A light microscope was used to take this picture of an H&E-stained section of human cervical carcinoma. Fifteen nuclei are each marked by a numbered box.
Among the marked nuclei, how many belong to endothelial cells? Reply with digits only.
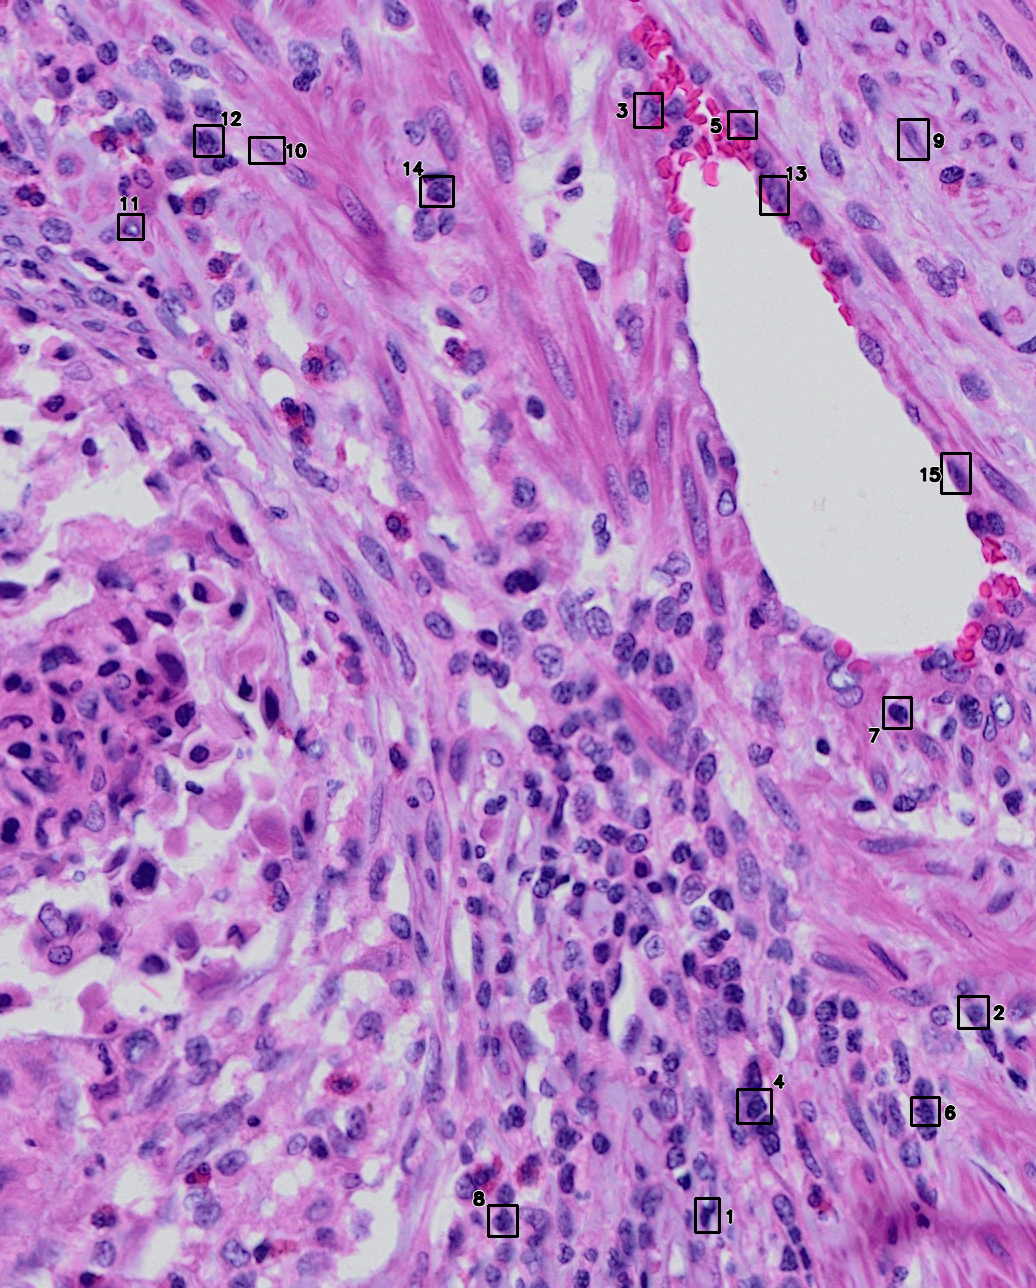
4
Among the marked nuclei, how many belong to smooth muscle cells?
3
